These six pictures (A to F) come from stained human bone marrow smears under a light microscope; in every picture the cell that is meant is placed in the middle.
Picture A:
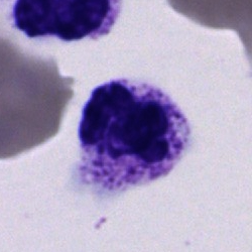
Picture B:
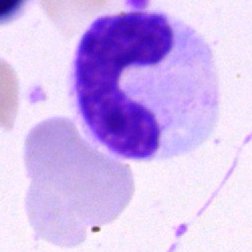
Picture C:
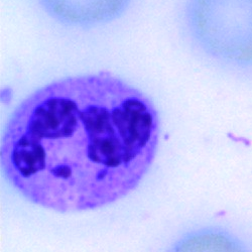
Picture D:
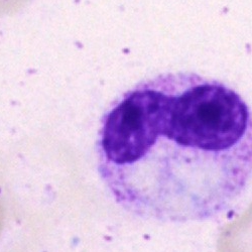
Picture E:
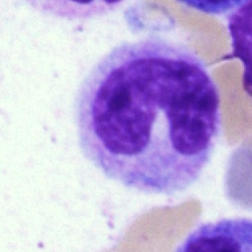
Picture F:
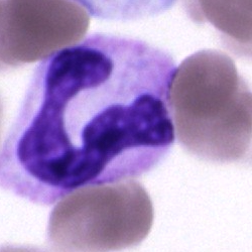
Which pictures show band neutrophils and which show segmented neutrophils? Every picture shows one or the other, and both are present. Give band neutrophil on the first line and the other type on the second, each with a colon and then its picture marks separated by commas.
band neutrophil: B, D, E, F
segmented neutrophil: A, C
